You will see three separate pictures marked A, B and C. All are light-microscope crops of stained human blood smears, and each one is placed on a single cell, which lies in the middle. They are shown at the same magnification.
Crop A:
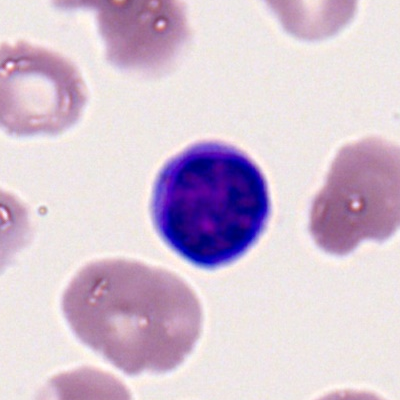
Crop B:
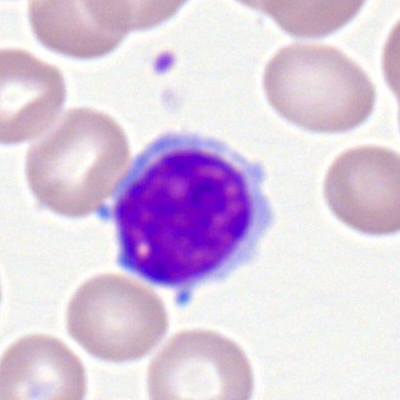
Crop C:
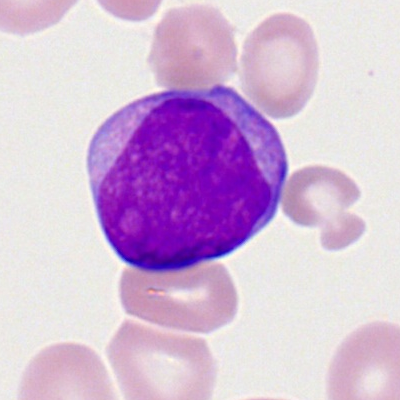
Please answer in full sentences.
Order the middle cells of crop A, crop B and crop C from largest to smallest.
From the largest down, the order is C, B, A.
